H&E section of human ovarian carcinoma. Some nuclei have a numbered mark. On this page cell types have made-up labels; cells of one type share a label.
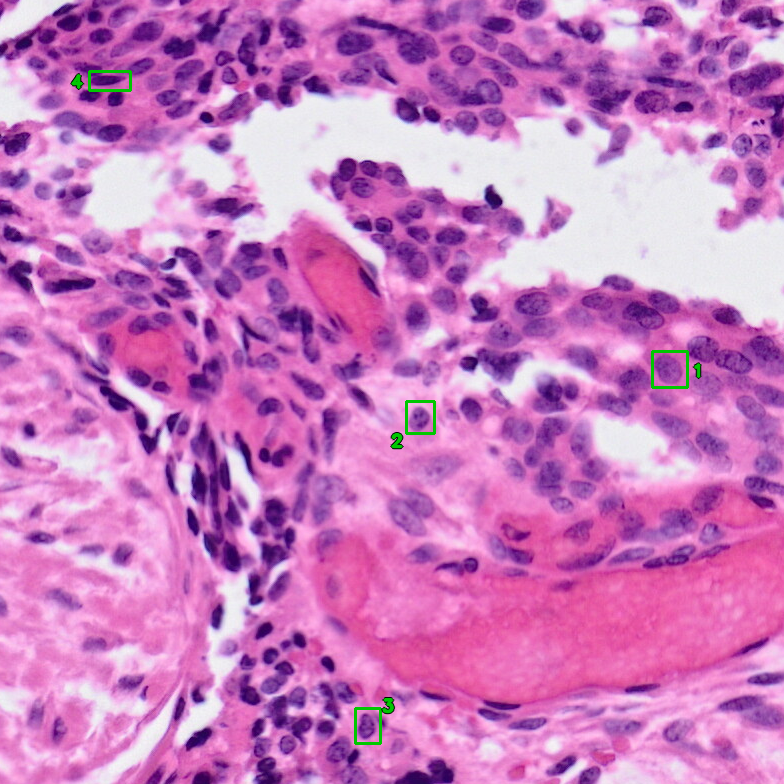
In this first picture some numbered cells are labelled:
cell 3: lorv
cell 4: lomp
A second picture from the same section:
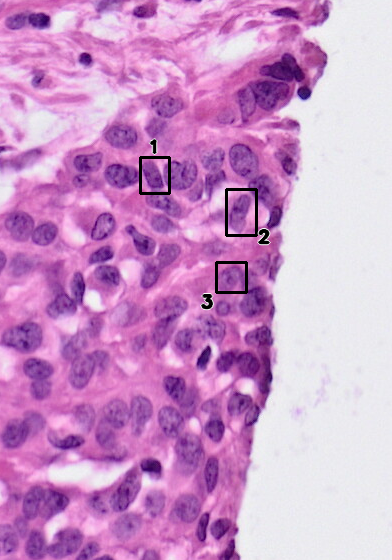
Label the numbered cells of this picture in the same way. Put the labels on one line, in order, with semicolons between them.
lomp; lorv; lomp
